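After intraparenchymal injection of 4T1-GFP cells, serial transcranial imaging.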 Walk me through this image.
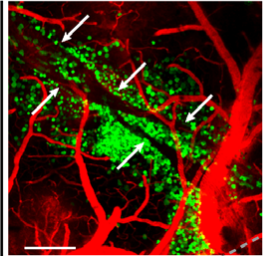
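The green cells gather most thickly along a dark band that runs obliquely across the centre of the field. This band is not filled with red, unlike the branching vessels around it.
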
